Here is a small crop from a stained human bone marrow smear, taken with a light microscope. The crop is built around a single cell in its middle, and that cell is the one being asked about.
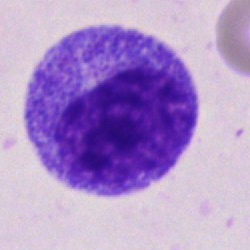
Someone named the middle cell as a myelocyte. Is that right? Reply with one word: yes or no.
yes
